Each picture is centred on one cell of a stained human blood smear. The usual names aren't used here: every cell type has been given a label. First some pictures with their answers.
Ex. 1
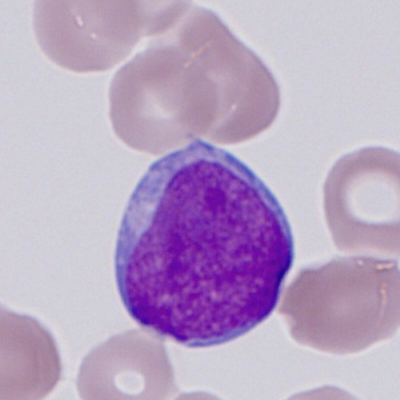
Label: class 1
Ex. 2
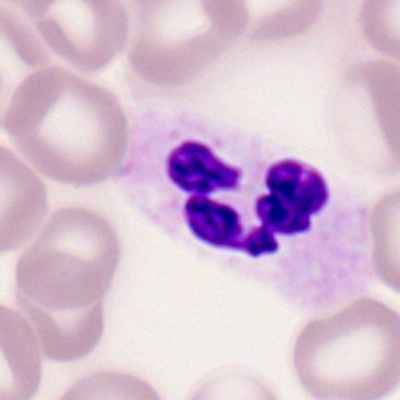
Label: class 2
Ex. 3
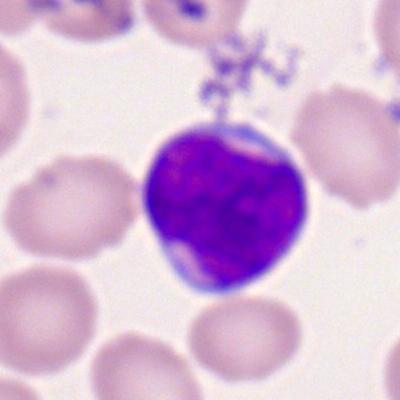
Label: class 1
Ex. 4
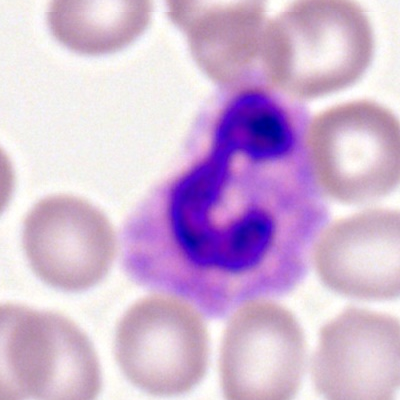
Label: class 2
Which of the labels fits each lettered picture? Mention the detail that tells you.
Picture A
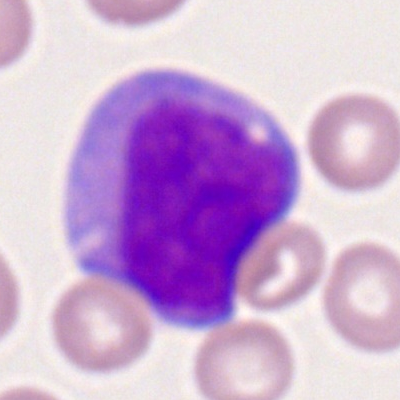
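class 1. Reason: The nucleus is a single unlobed mass.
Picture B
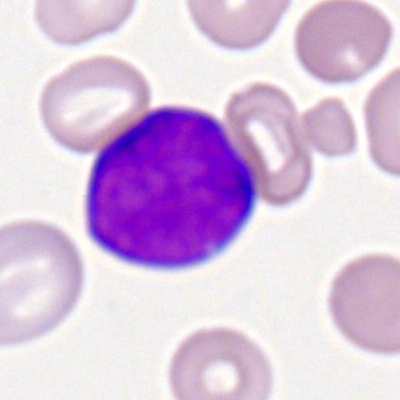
class 1. Reason: The thin rim at the cell's edge is deep blue.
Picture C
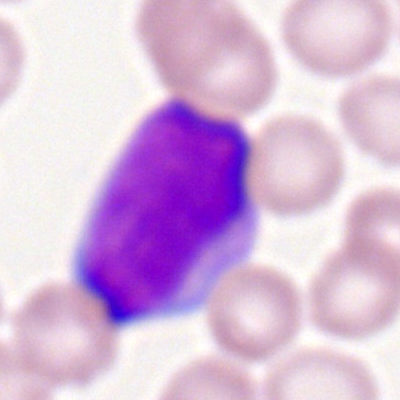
class 1. Reason: The cytoplasm forms a narrow rim that is widest along the lower right side.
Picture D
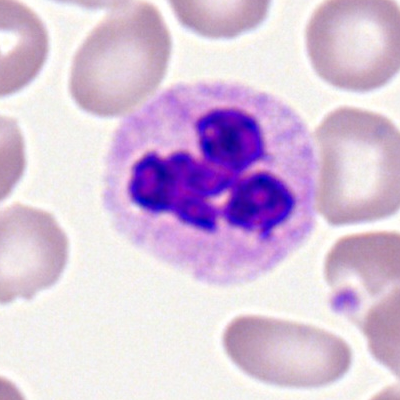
class 2. Reason: The cytoplasm is plentiful and pale pinkish-lilac.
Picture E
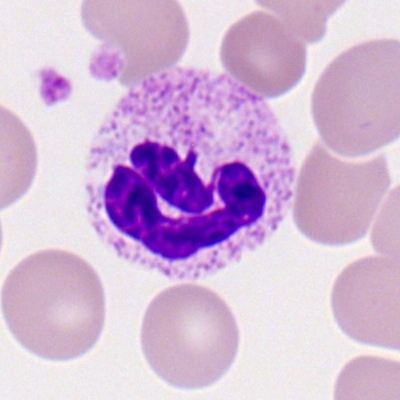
class 2. Reason: The cytoplasm is abundant and pale pink.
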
